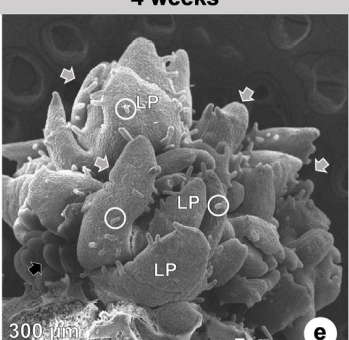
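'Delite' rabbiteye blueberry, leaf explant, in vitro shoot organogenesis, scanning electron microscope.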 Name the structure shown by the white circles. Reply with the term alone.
trichomes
